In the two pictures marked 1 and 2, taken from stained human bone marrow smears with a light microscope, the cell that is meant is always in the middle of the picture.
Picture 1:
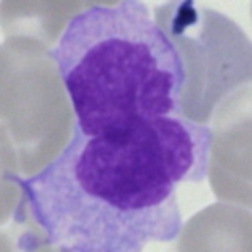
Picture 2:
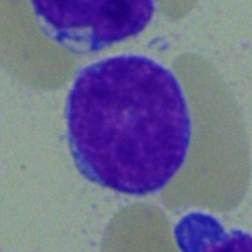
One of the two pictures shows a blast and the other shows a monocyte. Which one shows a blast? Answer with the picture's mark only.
2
